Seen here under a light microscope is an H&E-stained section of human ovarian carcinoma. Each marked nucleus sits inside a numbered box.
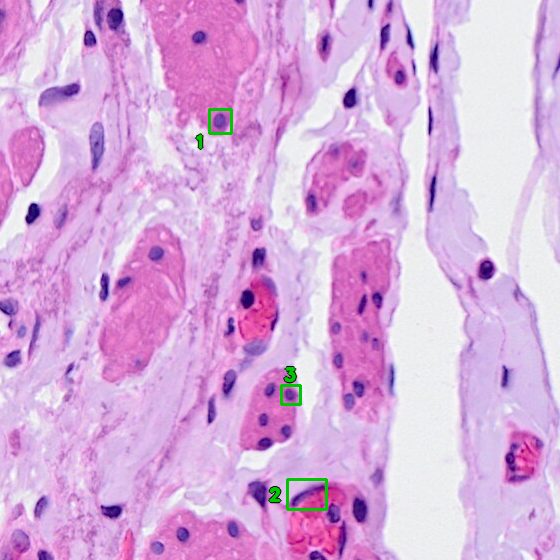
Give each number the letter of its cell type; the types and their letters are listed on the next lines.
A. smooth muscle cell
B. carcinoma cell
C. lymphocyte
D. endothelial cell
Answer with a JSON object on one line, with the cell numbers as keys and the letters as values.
{"1": "A", "2": "D", "3": "A"}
